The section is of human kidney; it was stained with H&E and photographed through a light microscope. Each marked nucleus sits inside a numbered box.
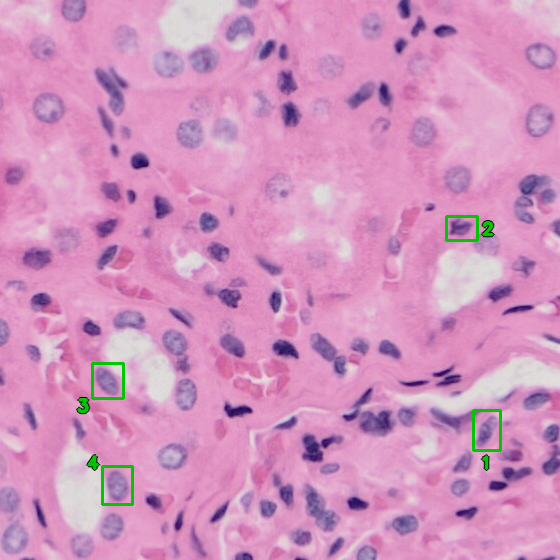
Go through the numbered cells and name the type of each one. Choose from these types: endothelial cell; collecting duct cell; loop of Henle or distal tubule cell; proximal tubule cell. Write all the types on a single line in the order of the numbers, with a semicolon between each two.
endothelial cell; loop of Henle or distal tubule cell; loop of Henle or distal tubule cell; loop of Henle or distal tubule cell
